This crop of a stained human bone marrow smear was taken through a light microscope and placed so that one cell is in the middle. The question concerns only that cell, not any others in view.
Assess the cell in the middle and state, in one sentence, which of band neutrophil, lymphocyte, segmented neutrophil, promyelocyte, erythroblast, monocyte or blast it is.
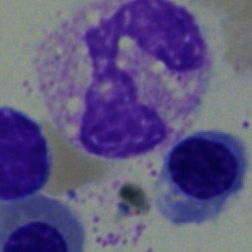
The cell the crop is centered on is a segmented neutrophil.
